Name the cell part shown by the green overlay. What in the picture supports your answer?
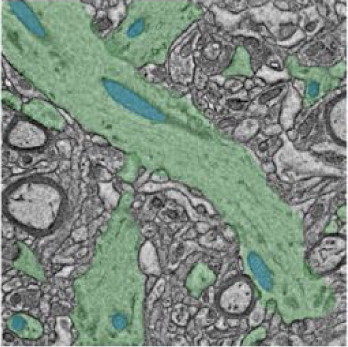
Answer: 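Dendrites. Large green-shaded tubular profiles cross the neuropil. The green profiles are much wider than the surrounding small profiles and contain blue-filled organelles.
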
